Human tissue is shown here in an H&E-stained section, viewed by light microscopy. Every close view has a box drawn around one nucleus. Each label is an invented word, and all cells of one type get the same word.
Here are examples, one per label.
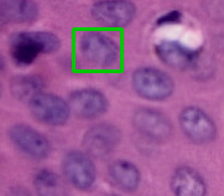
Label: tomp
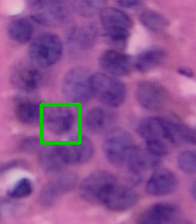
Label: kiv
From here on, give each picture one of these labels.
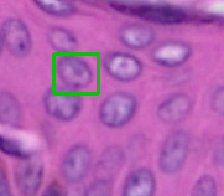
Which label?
tomp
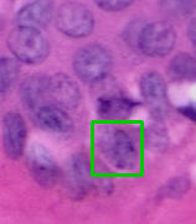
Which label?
kiv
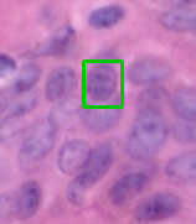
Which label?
kiv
